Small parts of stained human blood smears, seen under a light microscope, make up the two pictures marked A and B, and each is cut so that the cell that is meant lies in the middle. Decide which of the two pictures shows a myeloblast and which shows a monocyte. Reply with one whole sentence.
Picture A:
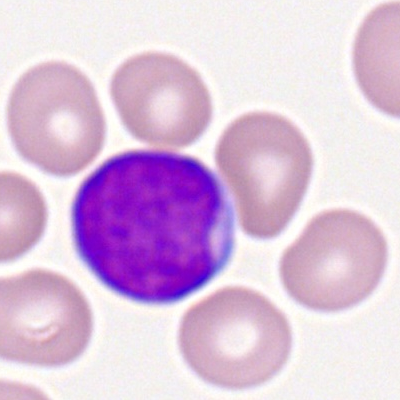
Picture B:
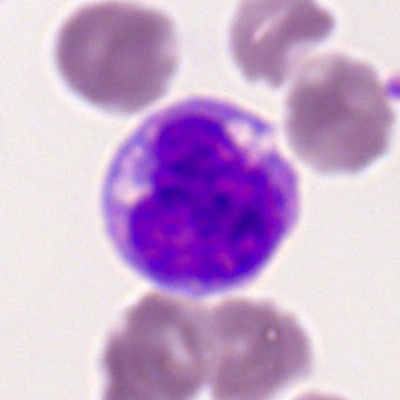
The cell in picture A is a myeloblast, and the one in picture B is a monocyte.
